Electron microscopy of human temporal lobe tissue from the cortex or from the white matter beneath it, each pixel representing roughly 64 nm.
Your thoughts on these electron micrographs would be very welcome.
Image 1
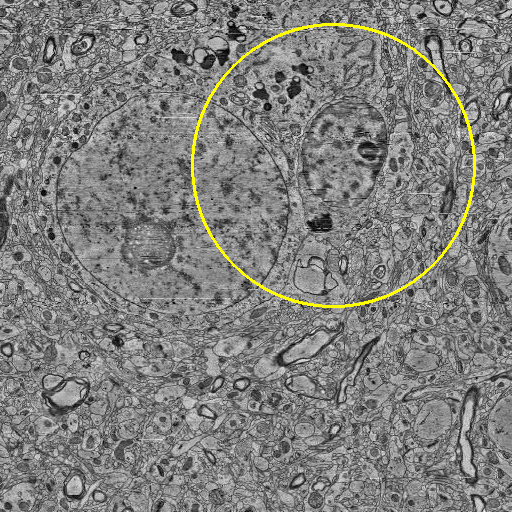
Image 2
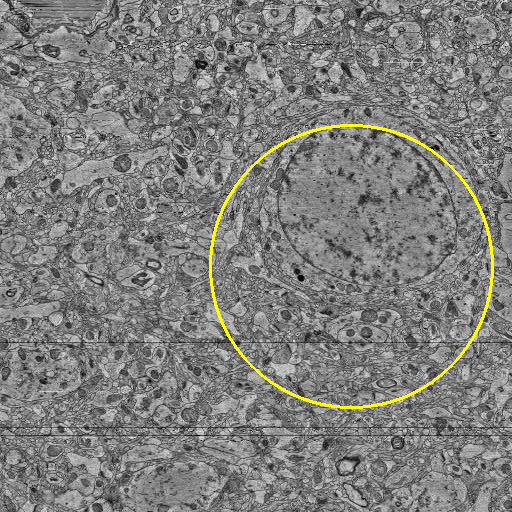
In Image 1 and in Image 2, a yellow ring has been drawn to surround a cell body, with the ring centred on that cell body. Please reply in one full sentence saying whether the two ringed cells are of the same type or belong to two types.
The ringed cells in Image 1 and Image 2 belong to two types.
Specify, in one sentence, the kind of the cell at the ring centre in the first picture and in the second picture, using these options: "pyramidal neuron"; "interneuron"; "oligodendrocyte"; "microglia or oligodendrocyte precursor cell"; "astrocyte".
So the first is an oligodendrocyte, the second a pyramidal neuron.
